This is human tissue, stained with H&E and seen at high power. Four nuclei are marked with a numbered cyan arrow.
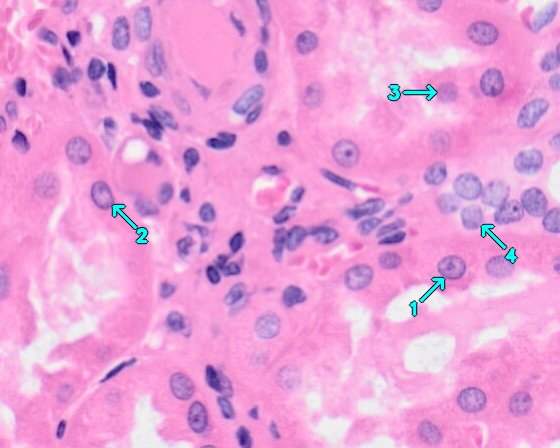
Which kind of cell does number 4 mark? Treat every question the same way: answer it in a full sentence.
Cell 4, among those numbered, is a collecting duct cell.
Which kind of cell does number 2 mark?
What the number 2 marks in this field is a proximal tubule cell.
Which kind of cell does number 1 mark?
To a proximal tubule cell belongs the nucleus marked 1.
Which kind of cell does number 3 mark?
What the number 3 marks in this field is a proximal tubule cell.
